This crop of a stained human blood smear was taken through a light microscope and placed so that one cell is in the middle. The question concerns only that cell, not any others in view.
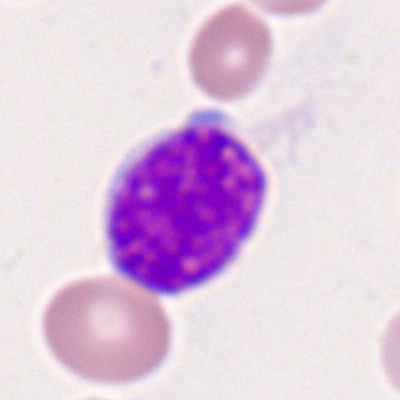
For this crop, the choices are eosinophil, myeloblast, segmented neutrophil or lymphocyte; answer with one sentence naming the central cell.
Classified as a lymphocyte is the cell in the middle of this crop.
